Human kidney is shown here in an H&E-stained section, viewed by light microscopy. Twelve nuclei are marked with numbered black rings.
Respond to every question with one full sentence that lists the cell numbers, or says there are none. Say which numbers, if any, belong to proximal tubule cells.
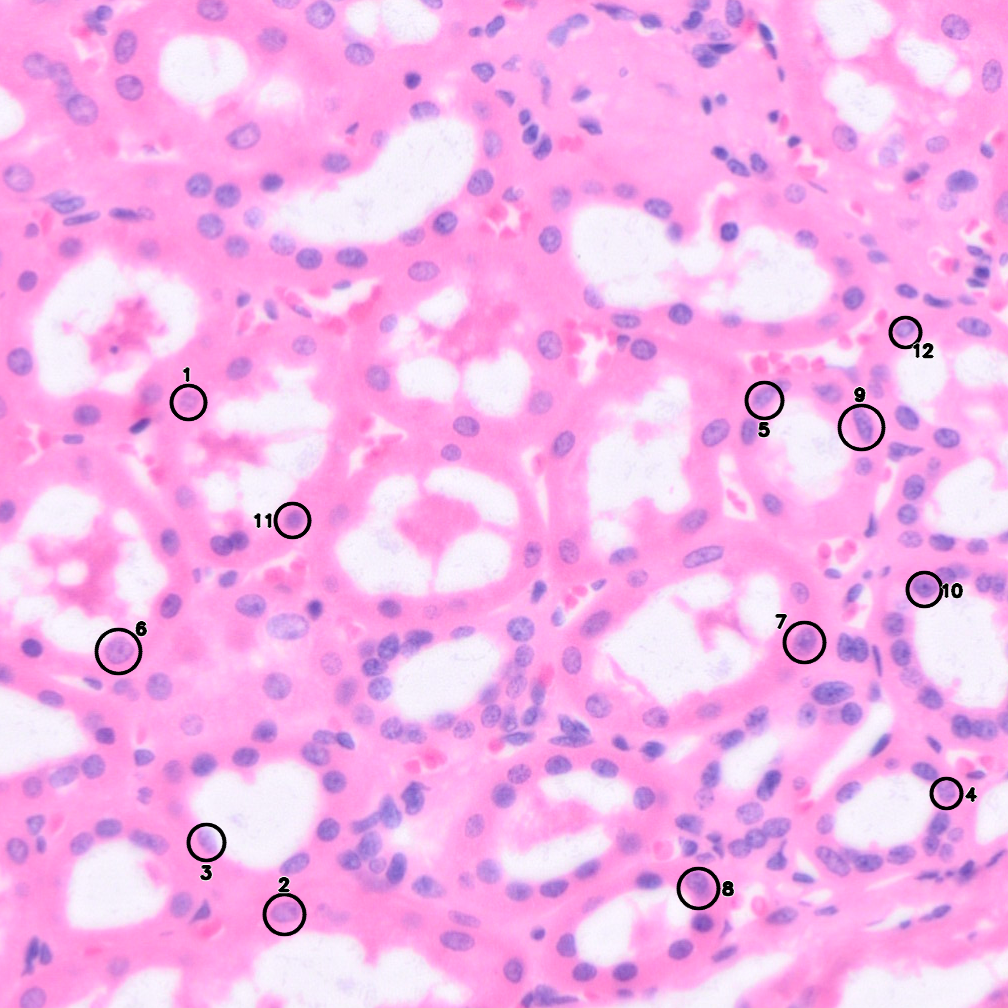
The cells given the numbers 1, 2, 6, 7 and 11 are proximal tubule cells.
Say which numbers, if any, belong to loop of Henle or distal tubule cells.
It is cell 3, and no other numbered cell, that is a loop of Henle or distal tubule cell.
